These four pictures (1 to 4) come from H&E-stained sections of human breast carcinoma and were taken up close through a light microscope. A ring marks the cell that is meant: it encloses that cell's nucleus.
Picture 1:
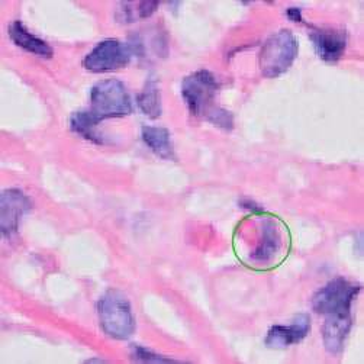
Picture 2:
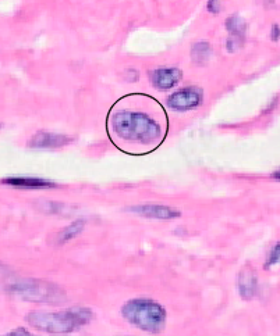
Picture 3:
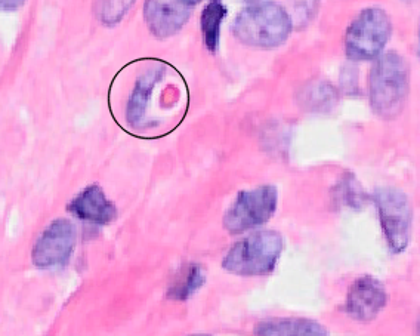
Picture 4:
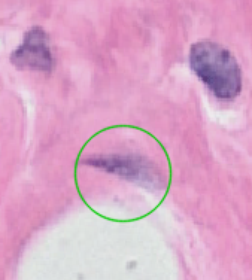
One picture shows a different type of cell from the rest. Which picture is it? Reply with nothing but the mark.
4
